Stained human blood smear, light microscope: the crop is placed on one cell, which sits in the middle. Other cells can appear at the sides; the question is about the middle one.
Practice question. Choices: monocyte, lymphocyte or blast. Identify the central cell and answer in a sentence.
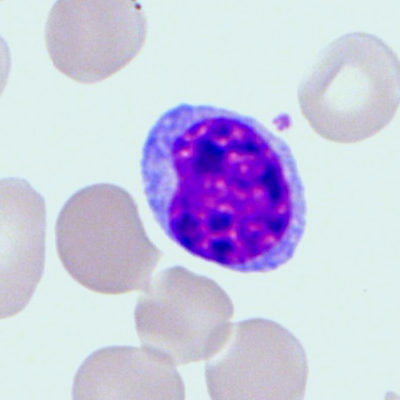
The cell in the middle of the field of view is a lymphocyte.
